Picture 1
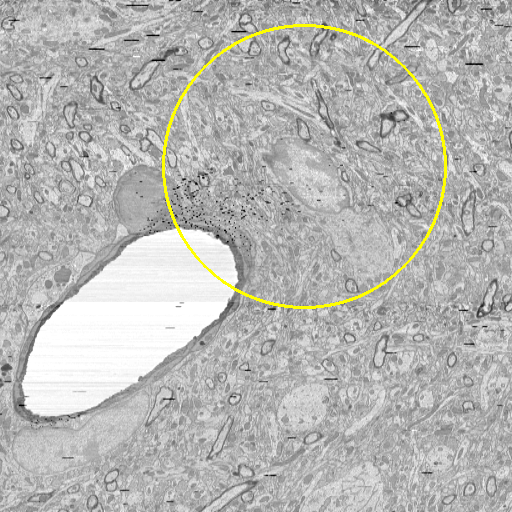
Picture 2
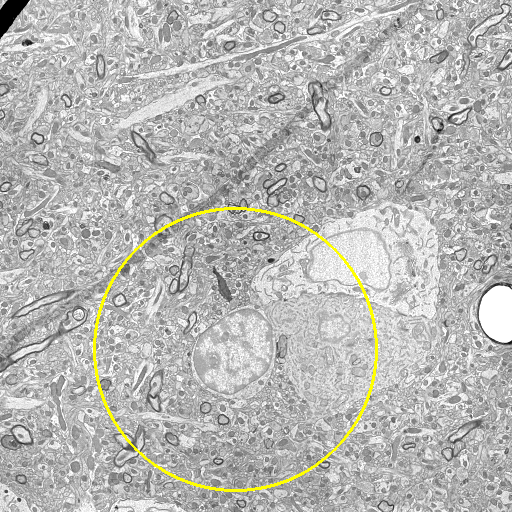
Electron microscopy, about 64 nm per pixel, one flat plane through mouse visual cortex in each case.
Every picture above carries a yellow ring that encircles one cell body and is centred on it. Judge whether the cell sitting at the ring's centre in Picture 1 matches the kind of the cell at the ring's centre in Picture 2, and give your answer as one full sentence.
Yes, the cells centred in the rings of Pictures 1 and 2 belong to one kind.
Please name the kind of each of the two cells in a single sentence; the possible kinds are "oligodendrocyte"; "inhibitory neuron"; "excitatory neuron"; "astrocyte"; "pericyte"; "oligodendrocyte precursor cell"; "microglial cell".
In each picture the ringed cell is an oligodendrocyte.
